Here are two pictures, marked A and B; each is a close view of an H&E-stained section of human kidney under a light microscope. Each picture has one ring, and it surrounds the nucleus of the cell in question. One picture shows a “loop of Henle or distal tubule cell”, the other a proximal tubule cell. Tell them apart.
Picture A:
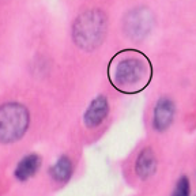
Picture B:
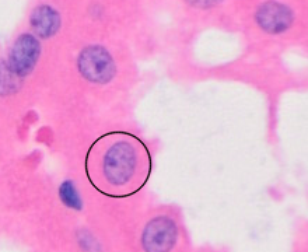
A: loop of Henle or distal tubule cell
B: proximal tubule cell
